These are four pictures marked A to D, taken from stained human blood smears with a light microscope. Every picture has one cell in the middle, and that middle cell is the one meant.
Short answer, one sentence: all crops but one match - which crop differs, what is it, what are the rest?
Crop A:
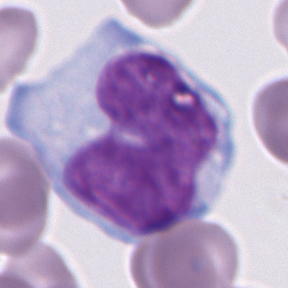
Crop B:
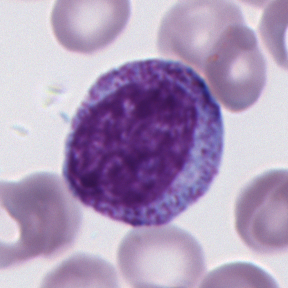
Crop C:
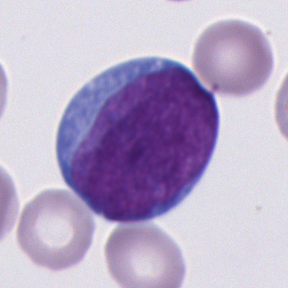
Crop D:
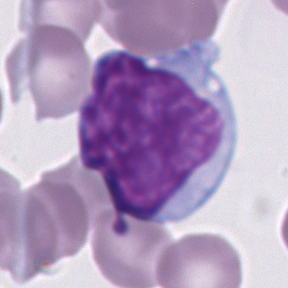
Of the crops, all show blasts save crop B, which shows a promyelocyte.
